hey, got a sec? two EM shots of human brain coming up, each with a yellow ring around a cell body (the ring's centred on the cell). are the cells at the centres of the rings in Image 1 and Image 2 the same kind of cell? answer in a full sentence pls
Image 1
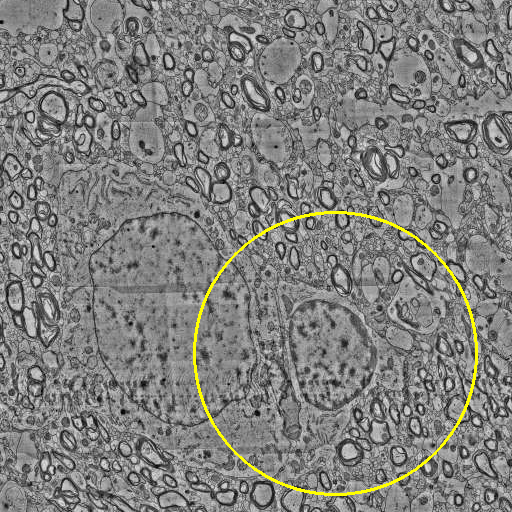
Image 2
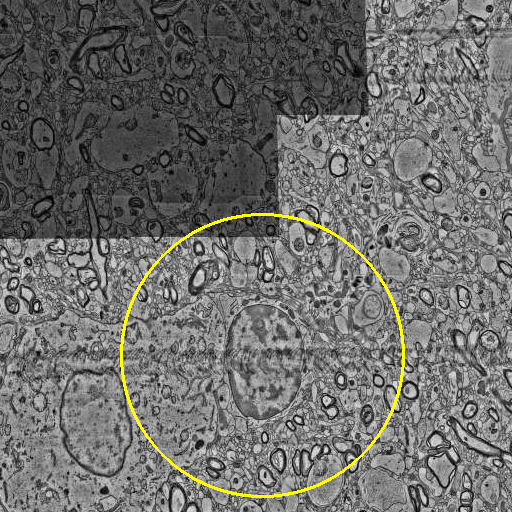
Yes, both are the same kind of cell.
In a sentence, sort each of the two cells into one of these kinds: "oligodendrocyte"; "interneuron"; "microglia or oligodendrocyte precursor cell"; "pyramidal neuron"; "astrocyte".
The cell at the ring centre is a microglial cell or oligodendrocyte precursor cell in both pictures.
